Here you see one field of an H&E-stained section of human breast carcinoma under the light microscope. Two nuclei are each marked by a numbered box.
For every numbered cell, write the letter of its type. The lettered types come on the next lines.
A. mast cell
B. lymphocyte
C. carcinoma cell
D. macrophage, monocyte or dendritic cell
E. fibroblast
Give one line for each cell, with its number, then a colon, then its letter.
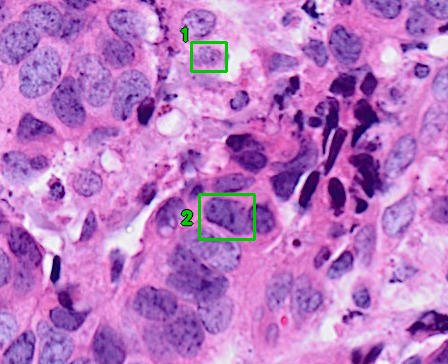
1: D
2: C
